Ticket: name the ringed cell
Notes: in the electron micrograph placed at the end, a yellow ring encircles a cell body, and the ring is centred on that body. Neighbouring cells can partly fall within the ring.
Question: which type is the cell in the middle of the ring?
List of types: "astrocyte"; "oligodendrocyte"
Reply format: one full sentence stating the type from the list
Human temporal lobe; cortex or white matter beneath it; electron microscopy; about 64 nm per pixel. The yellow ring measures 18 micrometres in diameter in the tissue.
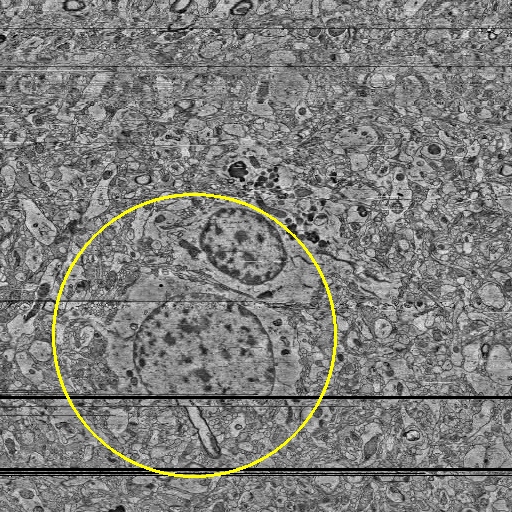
The cell sitting at the centre of the yellow ring is an astrocyte.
